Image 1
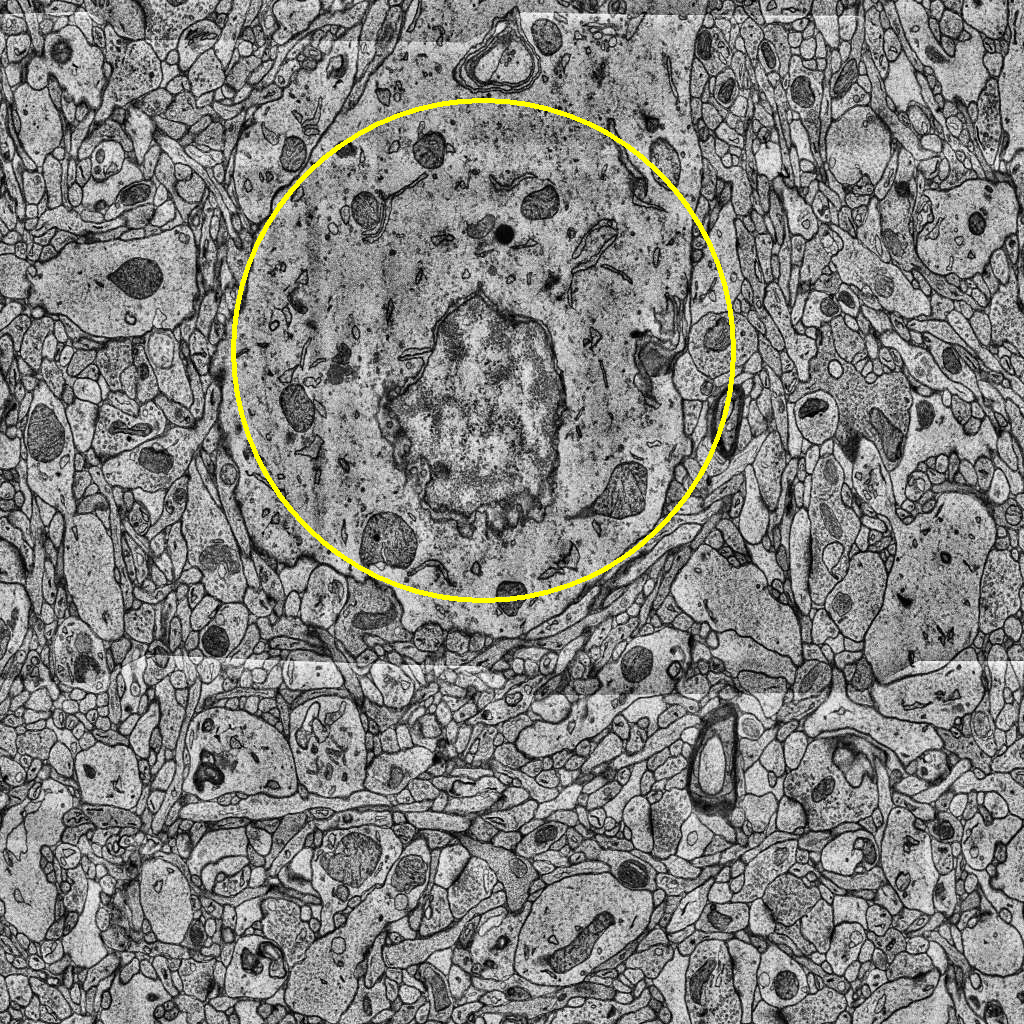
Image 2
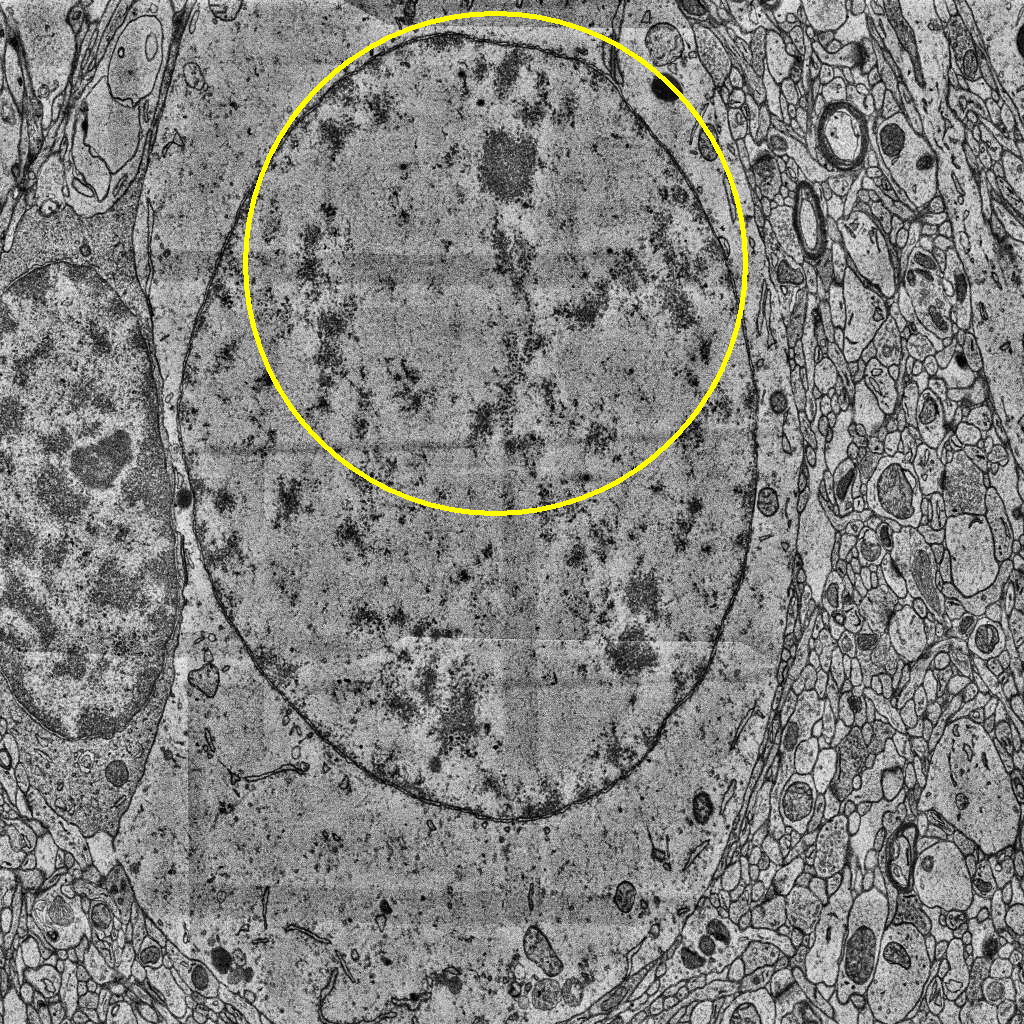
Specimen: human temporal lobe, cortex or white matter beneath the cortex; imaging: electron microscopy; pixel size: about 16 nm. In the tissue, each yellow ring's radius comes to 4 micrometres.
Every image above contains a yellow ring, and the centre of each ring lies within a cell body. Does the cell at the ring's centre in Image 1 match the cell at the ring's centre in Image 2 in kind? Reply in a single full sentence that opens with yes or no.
Yes, the cell at the ring's centre in Image 1 is the same kind as that in Image 2.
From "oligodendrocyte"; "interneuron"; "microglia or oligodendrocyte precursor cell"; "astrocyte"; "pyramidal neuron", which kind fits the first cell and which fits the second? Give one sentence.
Each of the two rings surrounds a pyramidal neuron.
